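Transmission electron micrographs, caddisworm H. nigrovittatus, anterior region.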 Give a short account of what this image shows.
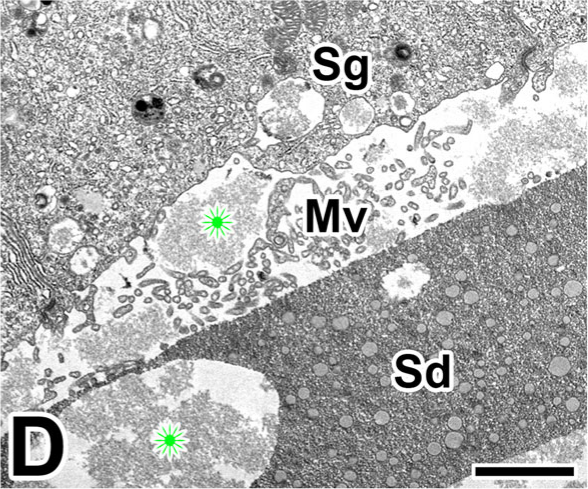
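Apical part of a silk gland secretory cell bordering the lumen. Cytoplasm at the upper left holds rough endoplasmic reticulum and round secretory granules with fine fibrous content. The apical surface bears numerous slender microvilli, cut in cross and oblique section. Fibrous secretory material lies among the microvilli and free in the lumen, resembling the granule contents within the cell. A dense, finely granular mass with round lighter droplets fills the lower right of the lumen.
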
